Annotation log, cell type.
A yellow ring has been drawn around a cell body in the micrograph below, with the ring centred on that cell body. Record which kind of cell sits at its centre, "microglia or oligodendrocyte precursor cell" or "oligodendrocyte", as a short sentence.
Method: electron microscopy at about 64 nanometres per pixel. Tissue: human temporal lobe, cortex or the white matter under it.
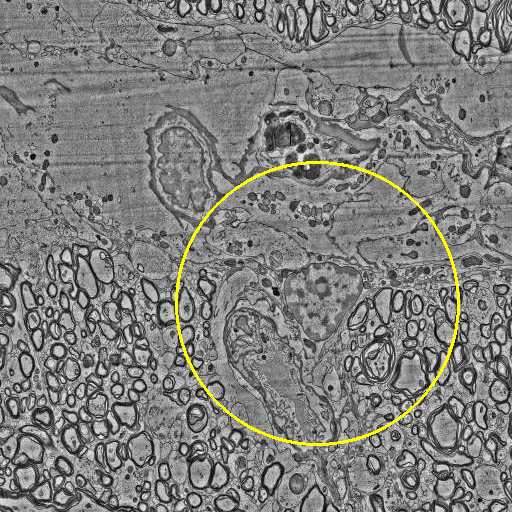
The cell at the centre of this ring is a microglial cell or oligodendrocyte precursor cell.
